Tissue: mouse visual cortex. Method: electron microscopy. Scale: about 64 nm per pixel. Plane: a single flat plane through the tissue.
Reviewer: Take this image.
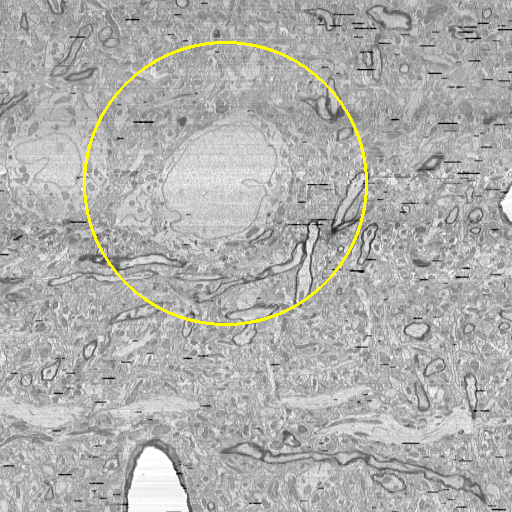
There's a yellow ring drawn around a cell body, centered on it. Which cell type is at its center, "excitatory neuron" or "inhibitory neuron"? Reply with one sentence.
At the center of the yellow ring is an excitatory neuron.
